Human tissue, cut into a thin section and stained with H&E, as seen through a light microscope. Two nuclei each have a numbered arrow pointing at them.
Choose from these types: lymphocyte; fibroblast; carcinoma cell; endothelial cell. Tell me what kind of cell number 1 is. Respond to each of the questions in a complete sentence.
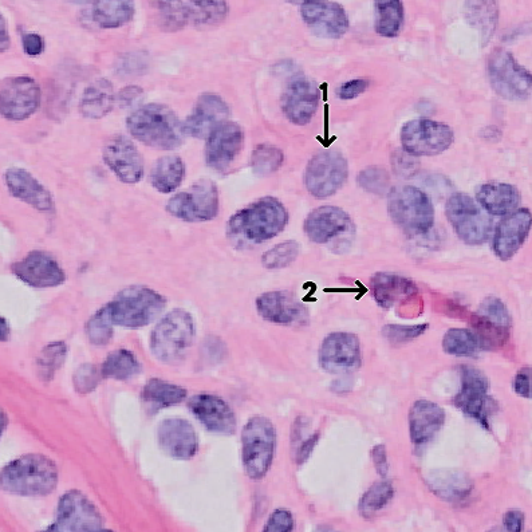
It is as a carcinoma cell that the cell numbered 1 is identified.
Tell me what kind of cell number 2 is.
The numbered cell 2 is identified here as an endothelial cell.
